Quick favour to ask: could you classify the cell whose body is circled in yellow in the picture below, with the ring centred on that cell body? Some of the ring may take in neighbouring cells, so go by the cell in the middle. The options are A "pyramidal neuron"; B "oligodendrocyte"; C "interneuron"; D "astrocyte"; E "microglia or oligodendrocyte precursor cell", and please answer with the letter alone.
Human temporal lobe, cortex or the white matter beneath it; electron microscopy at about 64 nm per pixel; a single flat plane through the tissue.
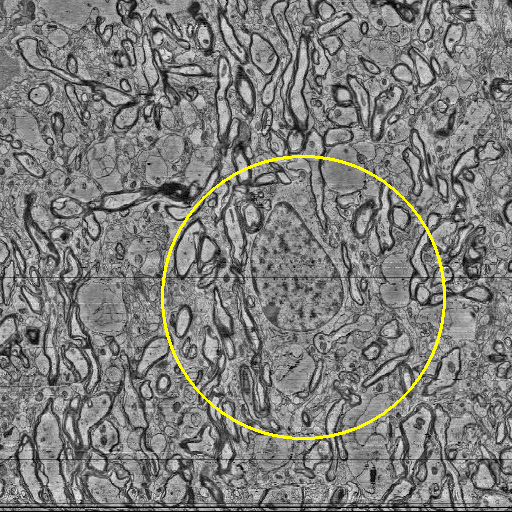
E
